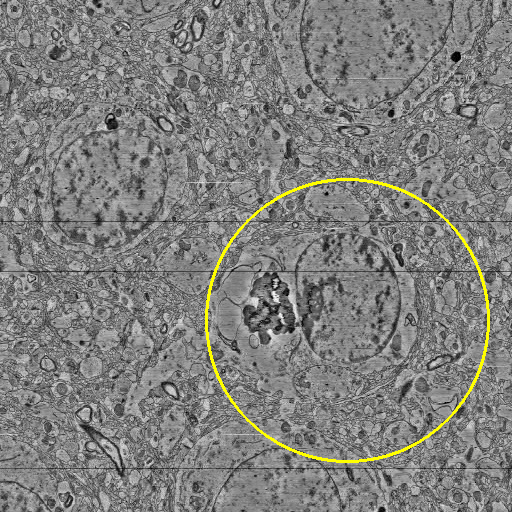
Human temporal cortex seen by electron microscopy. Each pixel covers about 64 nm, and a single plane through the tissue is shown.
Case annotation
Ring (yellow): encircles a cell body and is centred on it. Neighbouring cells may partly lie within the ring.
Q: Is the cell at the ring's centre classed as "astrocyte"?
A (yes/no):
yes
